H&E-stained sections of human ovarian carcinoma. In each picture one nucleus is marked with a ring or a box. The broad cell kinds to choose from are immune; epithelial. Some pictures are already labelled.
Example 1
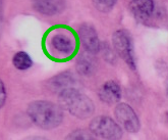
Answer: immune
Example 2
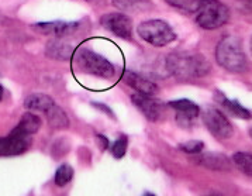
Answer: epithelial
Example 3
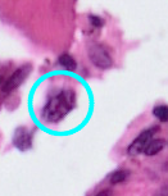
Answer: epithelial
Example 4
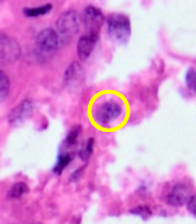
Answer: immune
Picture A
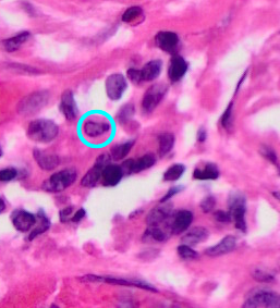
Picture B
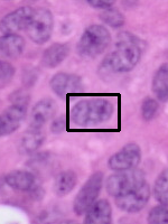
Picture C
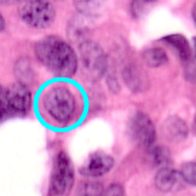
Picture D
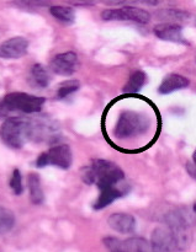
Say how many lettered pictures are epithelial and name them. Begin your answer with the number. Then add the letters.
3, namely B, C, D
